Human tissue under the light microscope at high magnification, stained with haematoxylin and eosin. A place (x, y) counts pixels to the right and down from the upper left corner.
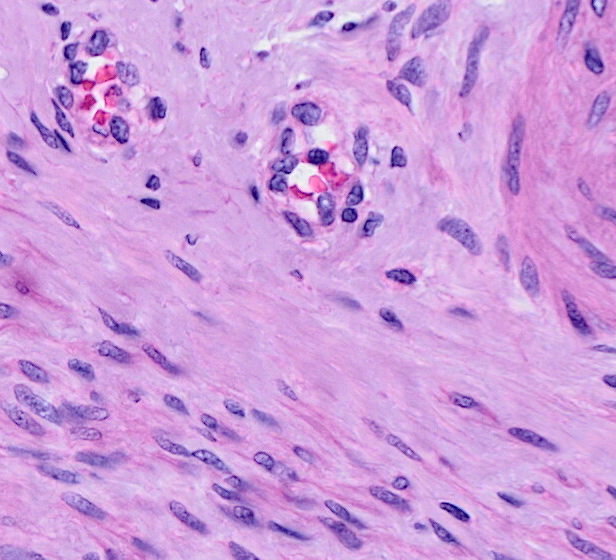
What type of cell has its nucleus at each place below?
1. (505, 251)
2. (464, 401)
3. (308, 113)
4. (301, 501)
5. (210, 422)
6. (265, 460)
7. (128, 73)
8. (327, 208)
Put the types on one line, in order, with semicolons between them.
smooth muscle cell; smooth muscle cell; endothelial cell; smooth muscle cell; smooth muscle cell; smooth muscle cell; endothelial cell; endothelial cell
